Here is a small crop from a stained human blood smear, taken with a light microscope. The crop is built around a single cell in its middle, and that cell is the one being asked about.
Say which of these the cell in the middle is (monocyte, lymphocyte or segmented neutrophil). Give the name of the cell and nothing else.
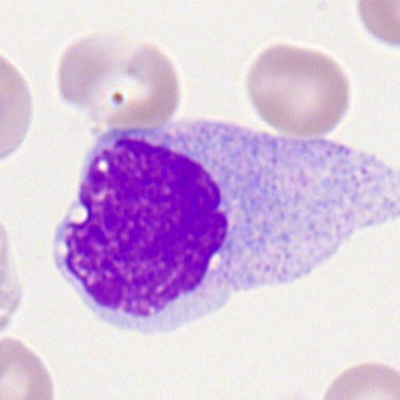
monocyte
